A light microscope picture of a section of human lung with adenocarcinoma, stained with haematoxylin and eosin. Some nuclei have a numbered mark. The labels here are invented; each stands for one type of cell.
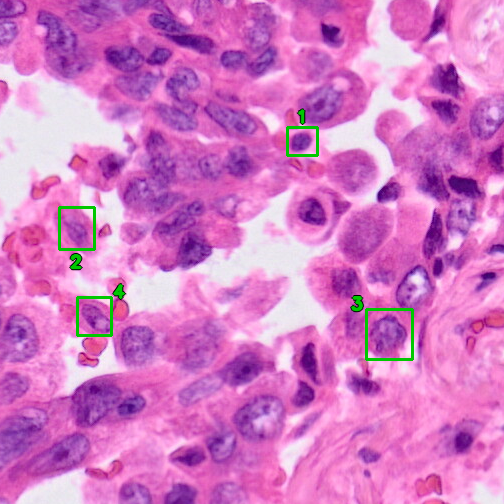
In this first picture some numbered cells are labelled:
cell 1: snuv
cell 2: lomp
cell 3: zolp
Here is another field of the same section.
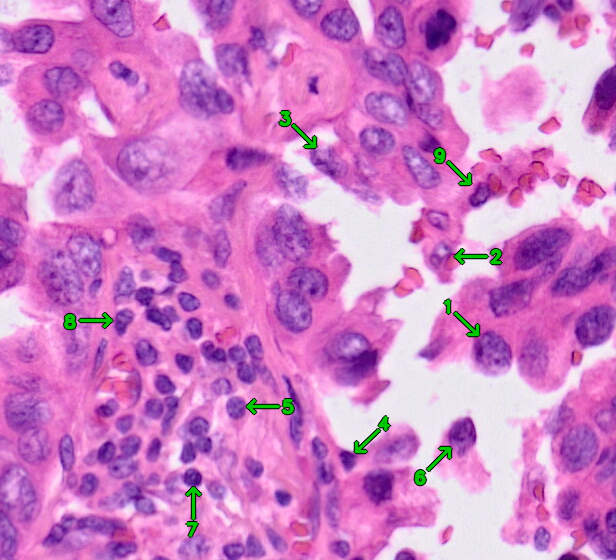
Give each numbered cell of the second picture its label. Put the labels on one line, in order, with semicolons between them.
zolp; lomp; zolp; snuv; snuv; zolp; snuv; snuv; lomp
